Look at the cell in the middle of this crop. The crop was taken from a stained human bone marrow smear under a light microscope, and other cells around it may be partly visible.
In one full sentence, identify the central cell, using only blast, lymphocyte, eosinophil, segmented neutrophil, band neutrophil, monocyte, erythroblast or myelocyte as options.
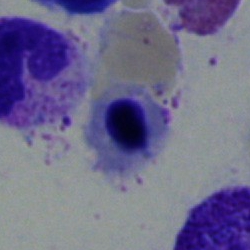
The cell positioned in the middle of the field is an erythroblast.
